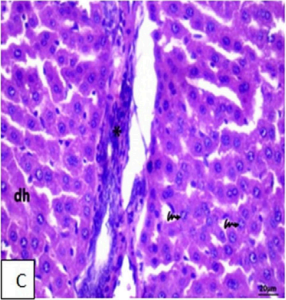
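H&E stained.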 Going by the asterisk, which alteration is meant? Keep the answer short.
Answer: lymphatic infiltration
